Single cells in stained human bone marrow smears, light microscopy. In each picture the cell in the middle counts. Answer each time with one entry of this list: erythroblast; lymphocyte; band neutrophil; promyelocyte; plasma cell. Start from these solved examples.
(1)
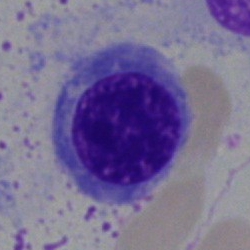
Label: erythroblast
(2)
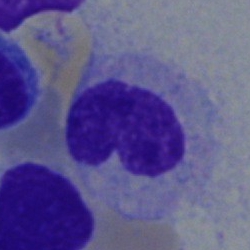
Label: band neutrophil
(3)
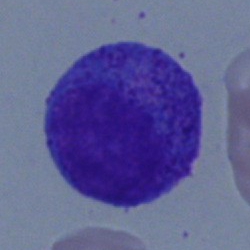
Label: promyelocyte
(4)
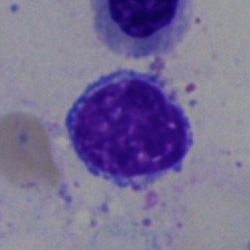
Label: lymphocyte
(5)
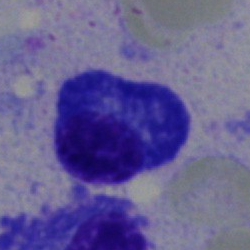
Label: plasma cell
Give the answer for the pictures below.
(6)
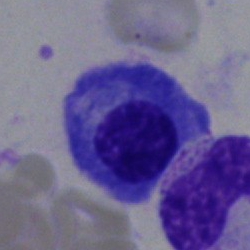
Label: plasma cell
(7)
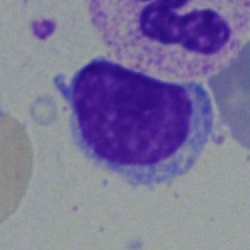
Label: lymphocyte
